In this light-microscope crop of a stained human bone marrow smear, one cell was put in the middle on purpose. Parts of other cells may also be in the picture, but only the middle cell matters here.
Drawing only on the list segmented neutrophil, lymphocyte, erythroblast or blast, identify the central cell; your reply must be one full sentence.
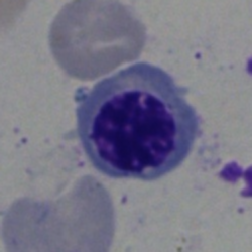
This crop's central cell is an erythroblast.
